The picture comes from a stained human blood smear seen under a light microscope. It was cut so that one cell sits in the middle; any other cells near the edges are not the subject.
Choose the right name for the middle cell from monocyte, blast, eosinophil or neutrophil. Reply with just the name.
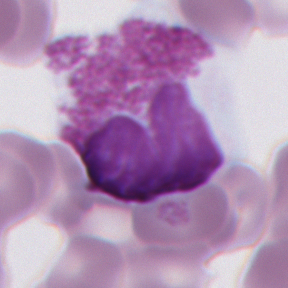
eosinophil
